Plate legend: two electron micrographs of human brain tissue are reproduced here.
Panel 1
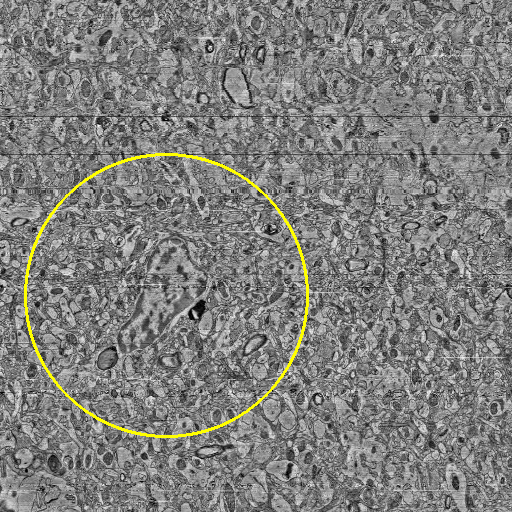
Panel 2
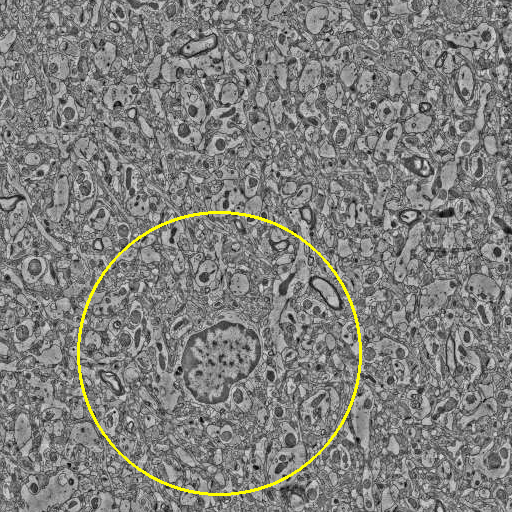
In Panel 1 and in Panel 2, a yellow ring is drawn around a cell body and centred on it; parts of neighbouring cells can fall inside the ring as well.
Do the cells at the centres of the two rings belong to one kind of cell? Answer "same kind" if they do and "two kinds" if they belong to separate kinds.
same kind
